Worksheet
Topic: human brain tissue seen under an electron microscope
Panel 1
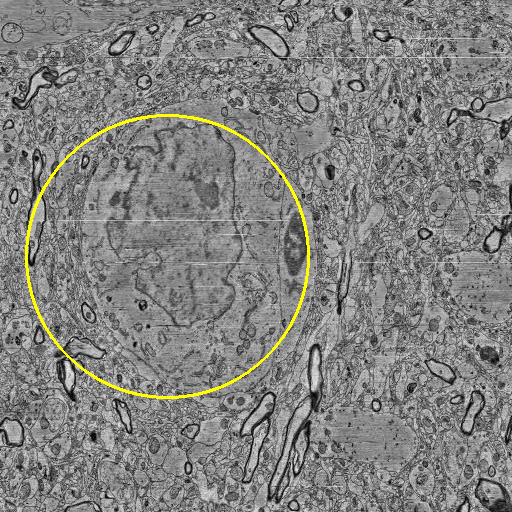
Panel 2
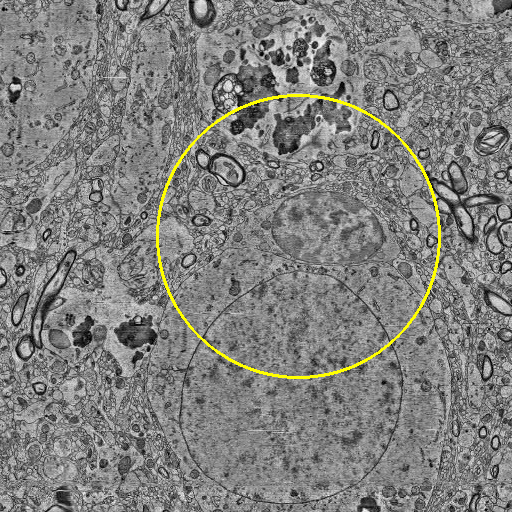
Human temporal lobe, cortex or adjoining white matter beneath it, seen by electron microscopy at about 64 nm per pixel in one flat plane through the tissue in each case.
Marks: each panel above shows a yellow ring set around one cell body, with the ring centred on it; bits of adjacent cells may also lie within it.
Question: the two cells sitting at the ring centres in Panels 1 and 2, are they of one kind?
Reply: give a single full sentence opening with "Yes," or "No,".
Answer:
No, the two ring-centre cells in Panel 1 and Panel 2 are of two kinds.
